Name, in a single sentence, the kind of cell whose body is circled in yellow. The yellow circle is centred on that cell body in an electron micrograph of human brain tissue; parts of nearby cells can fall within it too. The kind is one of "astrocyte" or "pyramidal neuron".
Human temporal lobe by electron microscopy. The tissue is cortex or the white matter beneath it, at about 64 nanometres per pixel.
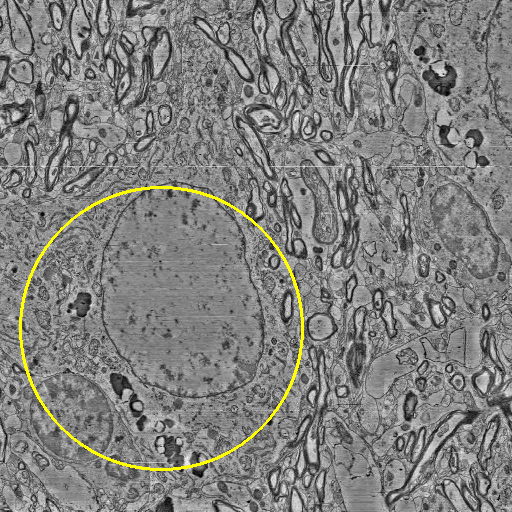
The circled cell body belongs to a pyramidal neuron.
